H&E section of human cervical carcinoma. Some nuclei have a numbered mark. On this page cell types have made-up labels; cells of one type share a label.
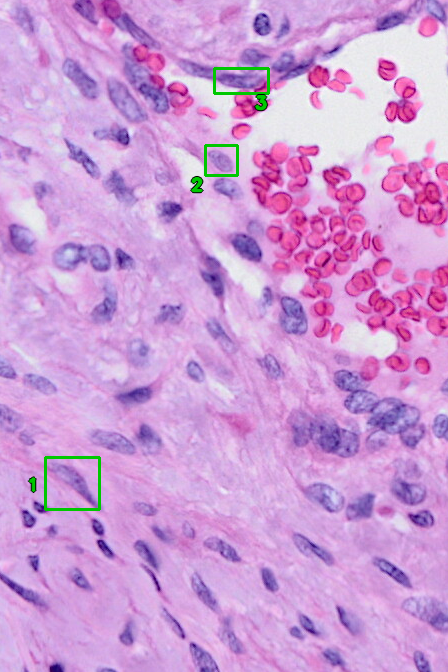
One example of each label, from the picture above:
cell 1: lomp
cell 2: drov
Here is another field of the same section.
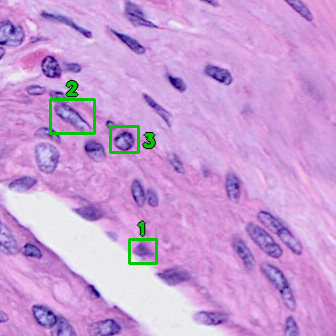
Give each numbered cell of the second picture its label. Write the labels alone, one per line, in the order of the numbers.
drov
lomp
lomp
